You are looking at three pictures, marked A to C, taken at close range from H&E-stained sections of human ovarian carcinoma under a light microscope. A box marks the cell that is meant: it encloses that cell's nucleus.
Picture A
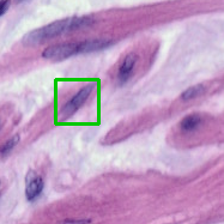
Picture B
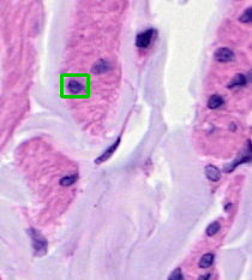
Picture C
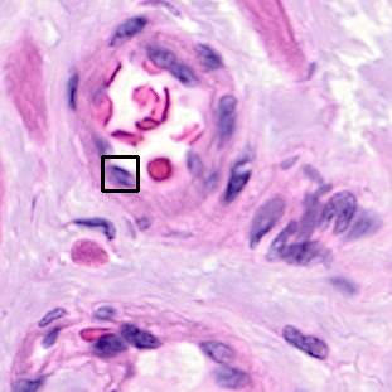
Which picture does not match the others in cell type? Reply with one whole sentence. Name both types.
Unlike the rest, which show smooth muscle cells, picture C shows an endothelial cell.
